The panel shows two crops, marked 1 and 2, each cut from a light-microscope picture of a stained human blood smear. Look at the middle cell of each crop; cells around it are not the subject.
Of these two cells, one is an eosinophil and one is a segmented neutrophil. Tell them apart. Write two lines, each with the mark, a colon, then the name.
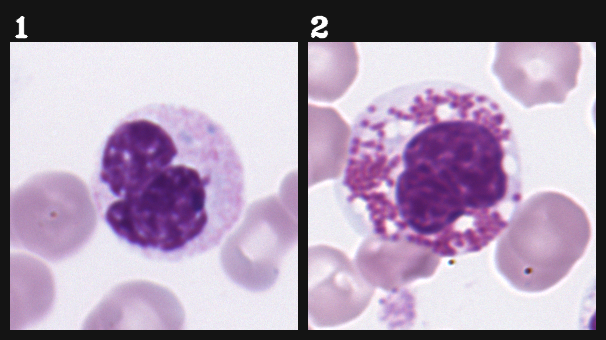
1: segmented neutrophil
2: eosinophil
